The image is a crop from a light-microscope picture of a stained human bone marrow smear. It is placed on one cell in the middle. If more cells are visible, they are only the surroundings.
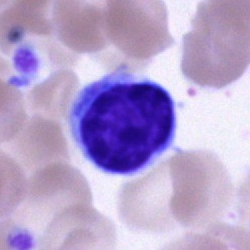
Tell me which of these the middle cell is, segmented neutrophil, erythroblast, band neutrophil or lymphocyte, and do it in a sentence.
This crop has a lymphocyte at its centre.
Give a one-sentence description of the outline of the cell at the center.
The edge of the cell is unbroken and smooth, bearing no projections.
